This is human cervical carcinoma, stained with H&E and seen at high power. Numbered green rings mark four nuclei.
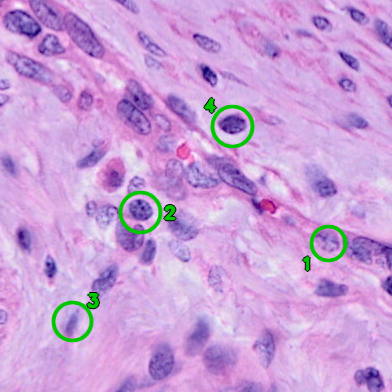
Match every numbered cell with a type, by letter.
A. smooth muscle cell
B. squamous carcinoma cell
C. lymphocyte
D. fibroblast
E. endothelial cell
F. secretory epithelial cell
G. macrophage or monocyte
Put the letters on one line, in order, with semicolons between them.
E; C; D; C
